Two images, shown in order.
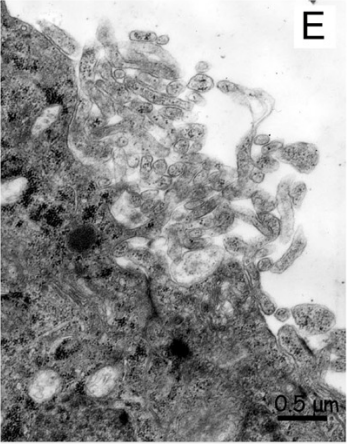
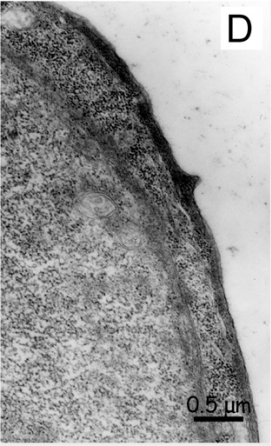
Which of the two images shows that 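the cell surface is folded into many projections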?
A: The first image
